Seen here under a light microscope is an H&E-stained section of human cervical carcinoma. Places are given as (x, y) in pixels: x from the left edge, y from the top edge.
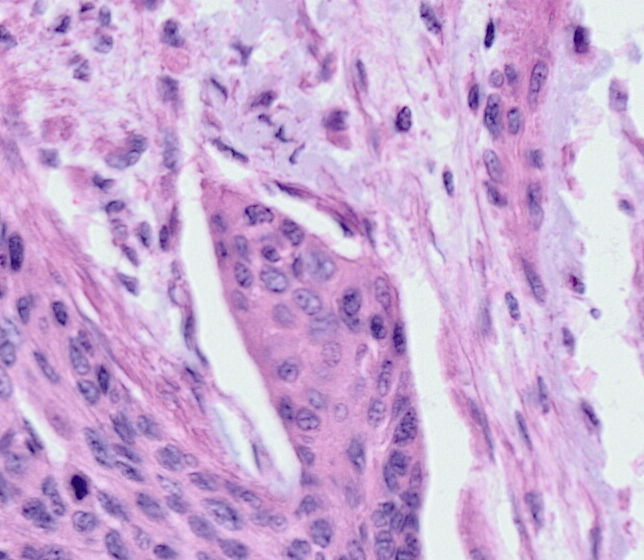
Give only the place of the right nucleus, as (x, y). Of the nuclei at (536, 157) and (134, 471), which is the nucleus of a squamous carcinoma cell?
(134, 471)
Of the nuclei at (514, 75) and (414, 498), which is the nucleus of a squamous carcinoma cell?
(414, 498)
